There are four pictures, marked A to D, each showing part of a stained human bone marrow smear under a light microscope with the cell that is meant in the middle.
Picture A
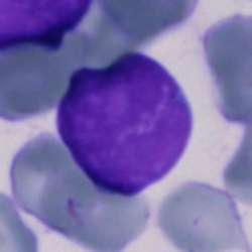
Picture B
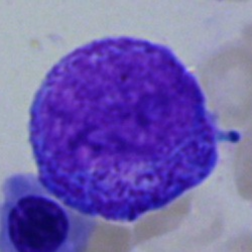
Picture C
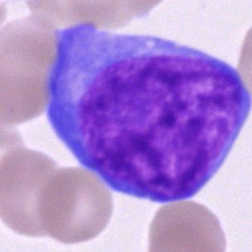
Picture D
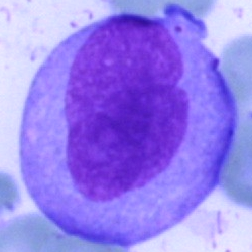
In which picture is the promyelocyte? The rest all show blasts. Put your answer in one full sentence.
Picture B shows the promyelocyte.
